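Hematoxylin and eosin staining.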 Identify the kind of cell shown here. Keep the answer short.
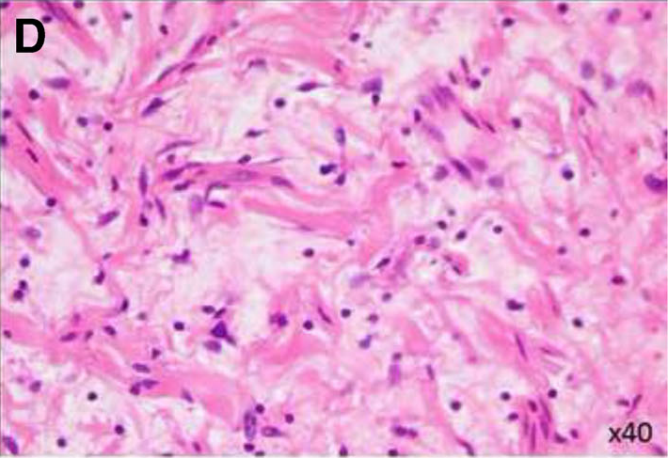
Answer: spindle-shaped cells with narrow nucleus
